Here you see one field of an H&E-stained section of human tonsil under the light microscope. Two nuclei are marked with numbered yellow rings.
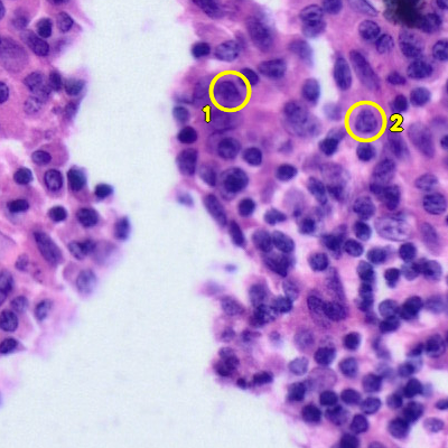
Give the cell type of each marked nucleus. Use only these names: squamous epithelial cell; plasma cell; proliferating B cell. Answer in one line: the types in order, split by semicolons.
squamous epithelial cell; plasma cell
